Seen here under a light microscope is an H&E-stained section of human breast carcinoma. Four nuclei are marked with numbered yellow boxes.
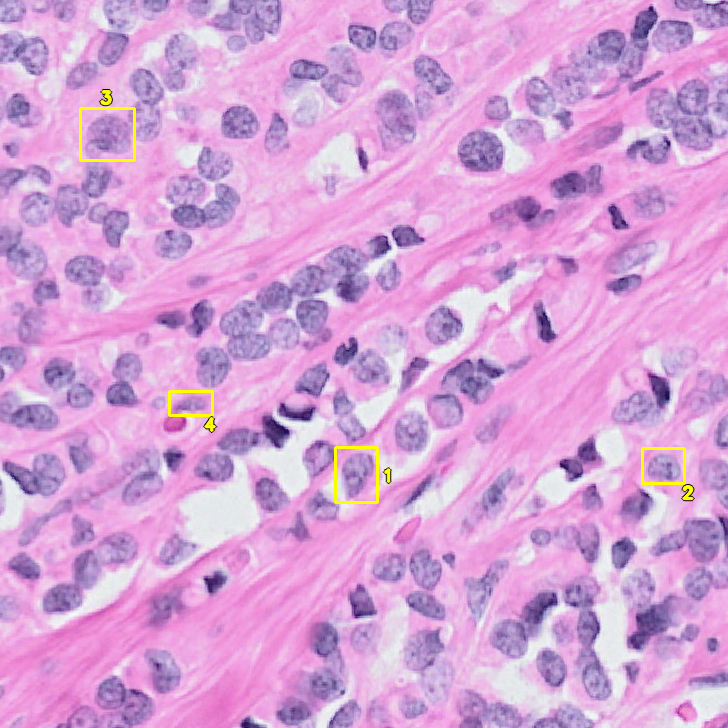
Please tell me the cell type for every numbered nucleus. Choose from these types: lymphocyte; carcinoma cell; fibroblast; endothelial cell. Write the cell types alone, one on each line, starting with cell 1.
carcinoma cell
carcinoma cell
carcinoma cell
endothelial cell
